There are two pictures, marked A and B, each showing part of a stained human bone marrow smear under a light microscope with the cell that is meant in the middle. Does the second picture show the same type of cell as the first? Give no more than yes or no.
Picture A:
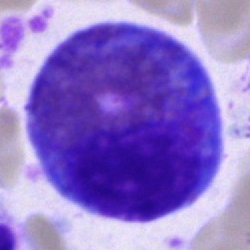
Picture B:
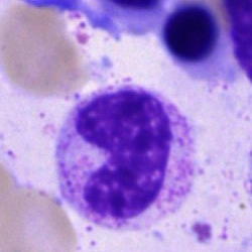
no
